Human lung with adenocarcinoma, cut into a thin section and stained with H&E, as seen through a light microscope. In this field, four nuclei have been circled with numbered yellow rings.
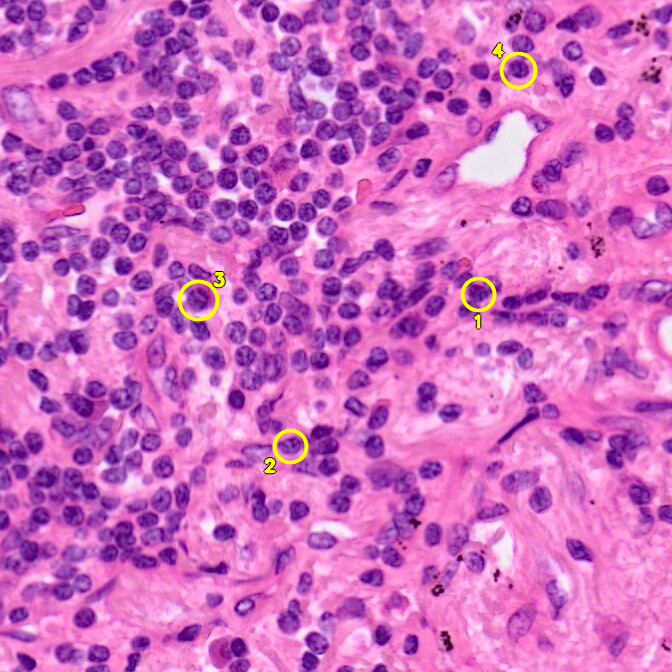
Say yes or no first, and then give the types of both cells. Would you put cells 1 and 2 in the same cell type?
Yes, cells 1 and 2 are, both of them, lymphocytes.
